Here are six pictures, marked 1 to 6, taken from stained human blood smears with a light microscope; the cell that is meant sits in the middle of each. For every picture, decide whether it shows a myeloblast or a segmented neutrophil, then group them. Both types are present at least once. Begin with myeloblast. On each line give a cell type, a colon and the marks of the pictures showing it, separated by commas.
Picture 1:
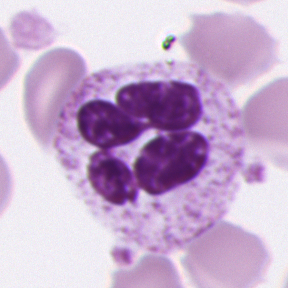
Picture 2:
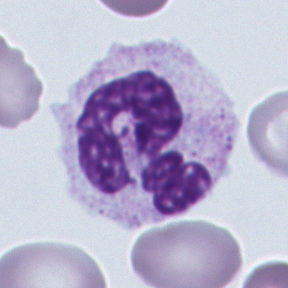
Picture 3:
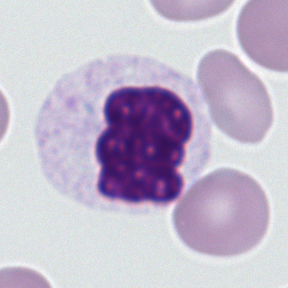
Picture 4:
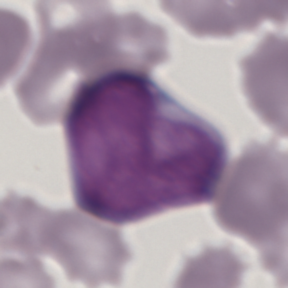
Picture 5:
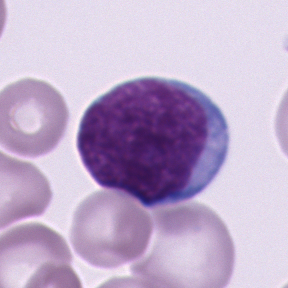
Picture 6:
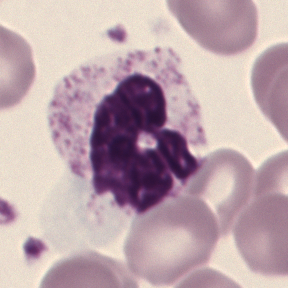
myeloblast: 4, 5
segmented neutrophil: 1, 2, 3, 6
